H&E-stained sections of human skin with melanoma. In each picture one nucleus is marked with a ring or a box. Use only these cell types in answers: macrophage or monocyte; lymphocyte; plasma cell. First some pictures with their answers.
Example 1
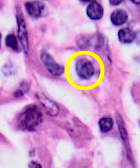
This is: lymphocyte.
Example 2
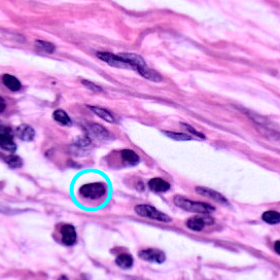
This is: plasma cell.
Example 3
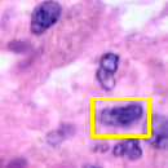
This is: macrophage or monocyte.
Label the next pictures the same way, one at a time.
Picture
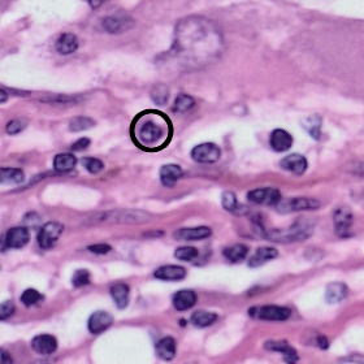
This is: plasma cell.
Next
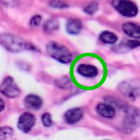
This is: lymphocyte.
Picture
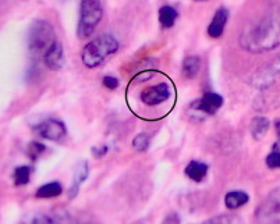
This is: lymphocyte.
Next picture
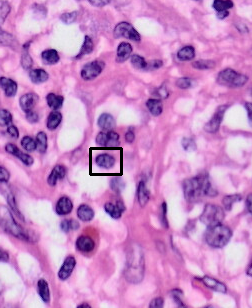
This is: lymphocyte.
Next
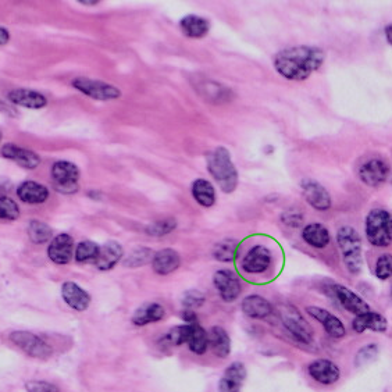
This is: plasma cell.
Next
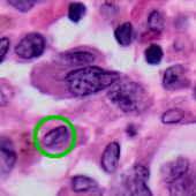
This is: macrophage or monocyte.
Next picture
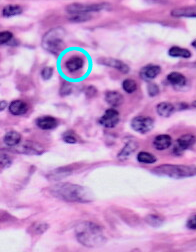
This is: plasma cell.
